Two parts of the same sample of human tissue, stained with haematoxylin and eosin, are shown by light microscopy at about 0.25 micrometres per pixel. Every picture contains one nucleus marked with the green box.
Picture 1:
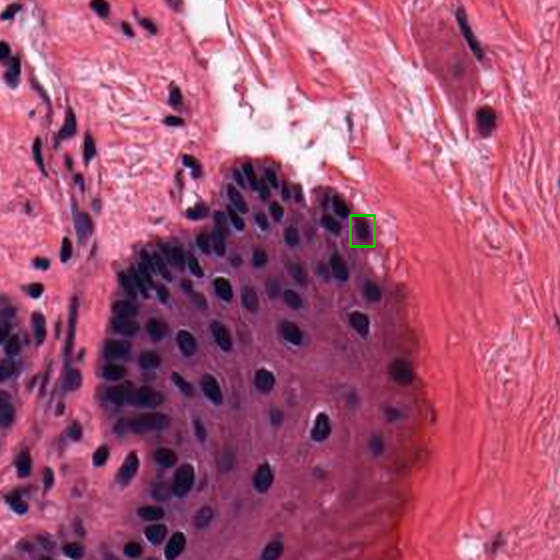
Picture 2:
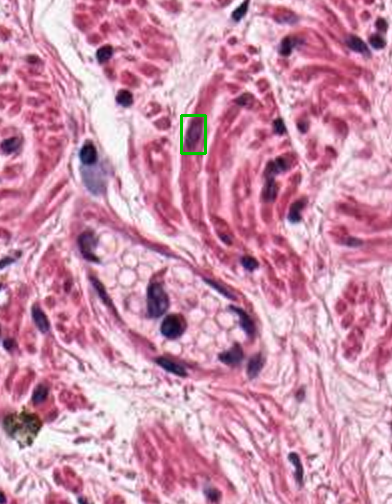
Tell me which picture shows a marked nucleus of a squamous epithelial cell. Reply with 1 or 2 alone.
1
